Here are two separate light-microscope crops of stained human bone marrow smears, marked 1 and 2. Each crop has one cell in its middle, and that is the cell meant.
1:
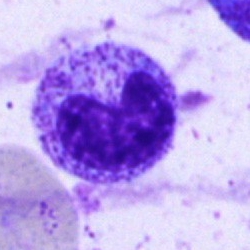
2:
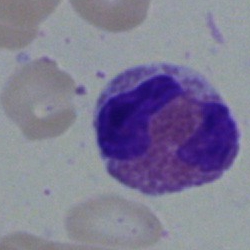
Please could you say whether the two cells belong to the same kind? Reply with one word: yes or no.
no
